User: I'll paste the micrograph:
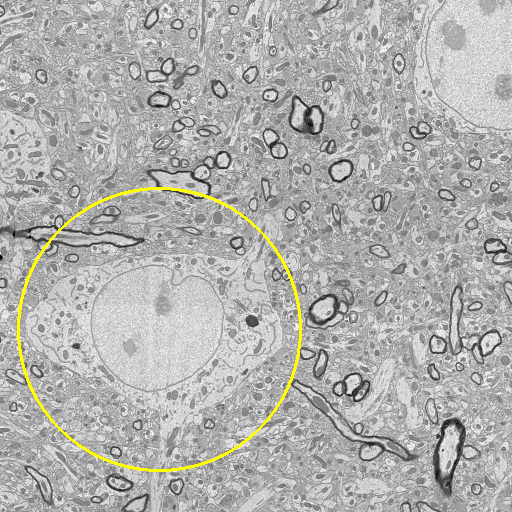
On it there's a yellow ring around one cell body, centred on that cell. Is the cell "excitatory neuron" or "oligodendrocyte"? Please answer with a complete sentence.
The cell ringed in yellow is an excitatory neuron.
